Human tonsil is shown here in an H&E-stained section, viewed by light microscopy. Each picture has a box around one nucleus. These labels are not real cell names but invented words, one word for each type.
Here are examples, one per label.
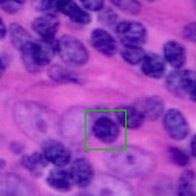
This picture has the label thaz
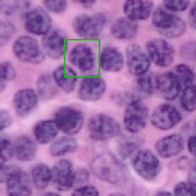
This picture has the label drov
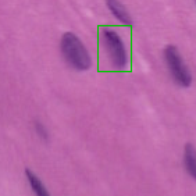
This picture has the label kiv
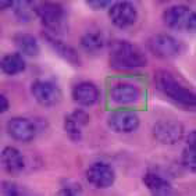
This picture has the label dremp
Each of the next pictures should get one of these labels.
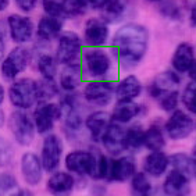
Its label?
drov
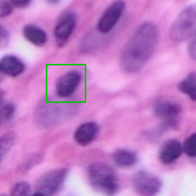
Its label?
thaz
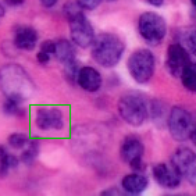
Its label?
thaz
